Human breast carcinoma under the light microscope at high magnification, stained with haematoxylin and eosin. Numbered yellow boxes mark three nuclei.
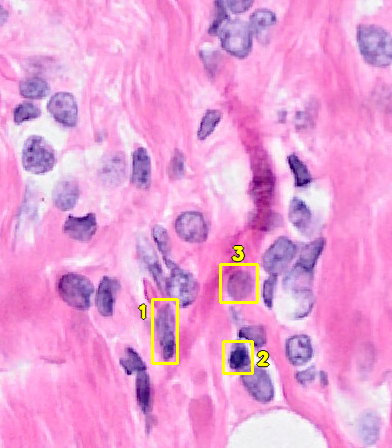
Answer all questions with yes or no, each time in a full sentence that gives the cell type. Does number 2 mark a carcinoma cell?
No, a lymphocyte, not a carcinoma cell, is the cell with number 2.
